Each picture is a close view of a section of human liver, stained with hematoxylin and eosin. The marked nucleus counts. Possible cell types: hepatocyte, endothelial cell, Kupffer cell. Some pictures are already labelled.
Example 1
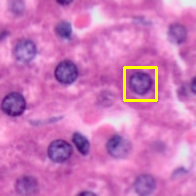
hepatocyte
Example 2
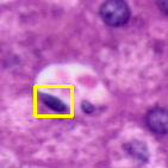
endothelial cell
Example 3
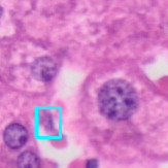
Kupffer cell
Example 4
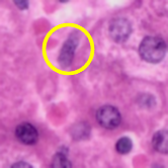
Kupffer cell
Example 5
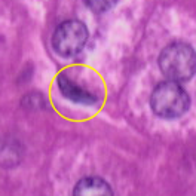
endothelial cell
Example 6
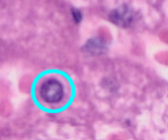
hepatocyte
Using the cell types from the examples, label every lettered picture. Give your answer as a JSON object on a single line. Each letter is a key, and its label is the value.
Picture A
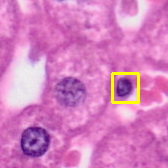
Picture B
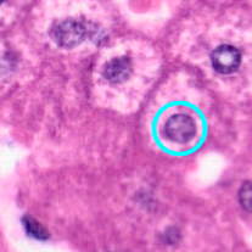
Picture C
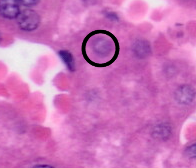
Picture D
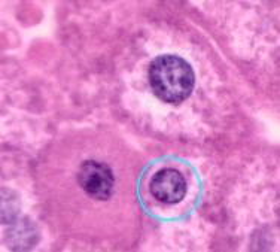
{"A": "Kupffer cell", "B": "hepatocyte", "C": "hepatocyte", "D": "hepatocyte"}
